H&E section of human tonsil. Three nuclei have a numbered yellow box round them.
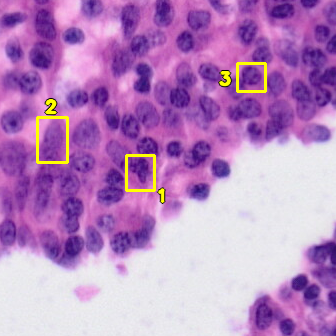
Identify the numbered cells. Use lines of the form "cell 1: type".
cell 1: plasma cell
cell 2: squamous epithelial cell
cell 3: plasma cell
